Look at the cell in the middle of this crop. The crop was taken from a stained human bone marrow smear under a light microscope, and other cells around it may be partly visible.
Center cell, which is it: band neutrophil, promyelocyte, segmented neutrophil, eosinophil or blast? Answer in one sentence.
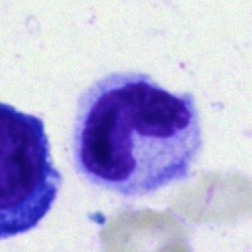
The crop's centre is taken up by a band neutrophil.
